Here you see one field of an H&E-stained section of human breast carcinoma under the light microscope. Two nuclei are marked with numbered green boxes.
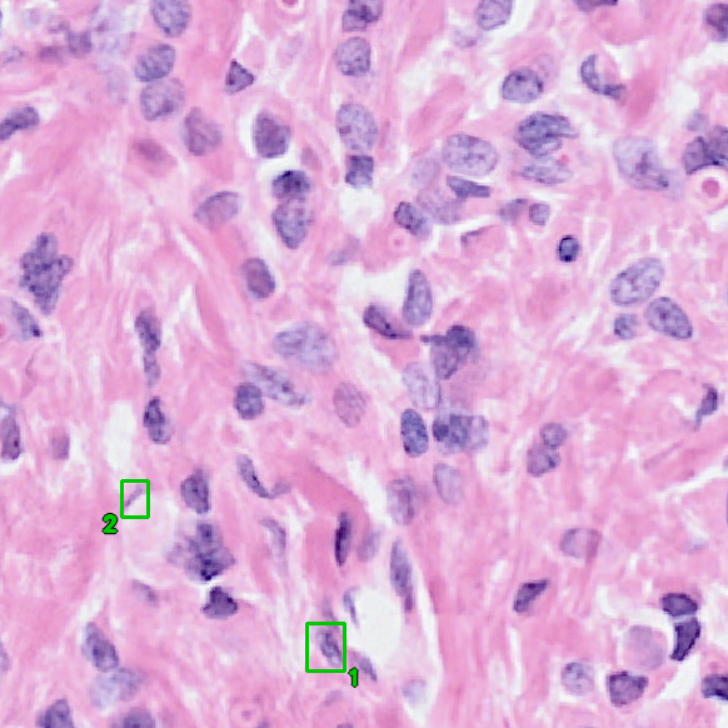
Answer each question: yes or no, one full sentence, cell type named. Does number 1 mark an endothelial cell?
Yes, the cell bearing the number 1 is an endothelial cell.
